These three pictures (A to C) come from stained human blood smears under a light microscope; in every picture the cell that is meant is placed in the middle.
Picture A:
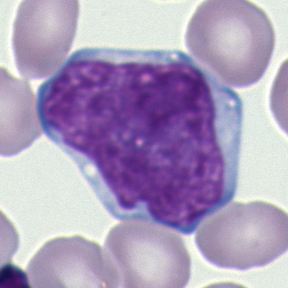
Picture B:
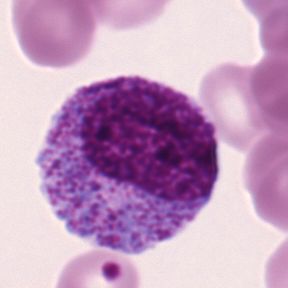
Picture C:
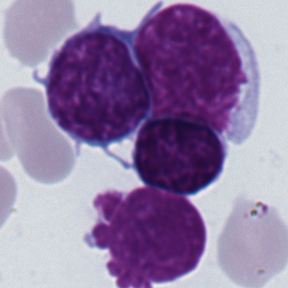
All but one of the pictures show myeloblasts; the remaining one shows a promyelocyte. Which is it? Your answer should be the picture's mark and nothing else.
B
